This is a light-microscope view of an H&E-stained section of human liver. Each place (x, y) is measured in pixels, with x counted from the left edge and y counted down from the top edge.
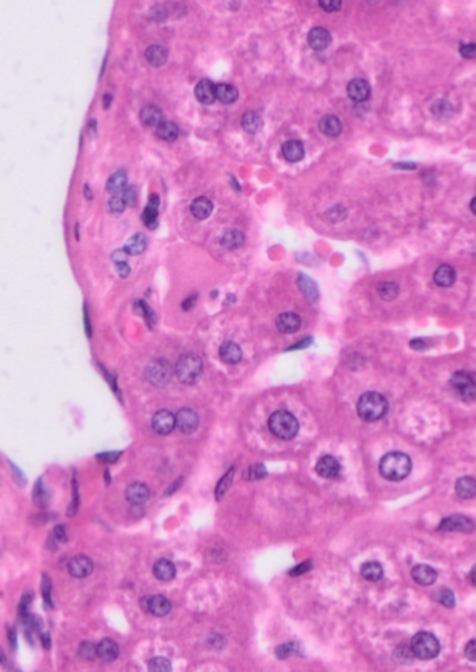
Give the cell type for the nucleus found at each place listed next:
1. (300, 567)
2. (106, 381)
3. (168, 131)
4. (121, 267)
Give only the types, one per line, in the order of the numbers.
fibroblast or stellate cell
fibroblast or stellate cell
hepatocyte
cholangiocyte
